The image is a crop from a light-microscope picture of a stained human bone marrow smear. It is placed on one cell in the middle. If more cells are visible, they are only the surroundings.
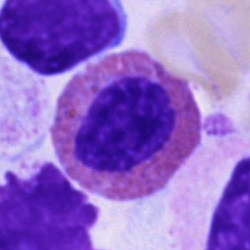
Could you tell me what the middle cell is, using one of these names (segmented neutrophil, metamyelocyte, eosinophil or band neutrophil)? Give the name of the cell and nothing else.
eosinophil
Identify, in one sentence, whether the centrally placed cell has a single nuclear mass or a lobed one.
The nucleus is one compact mass, round, oval or kidney-shaped in outline.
